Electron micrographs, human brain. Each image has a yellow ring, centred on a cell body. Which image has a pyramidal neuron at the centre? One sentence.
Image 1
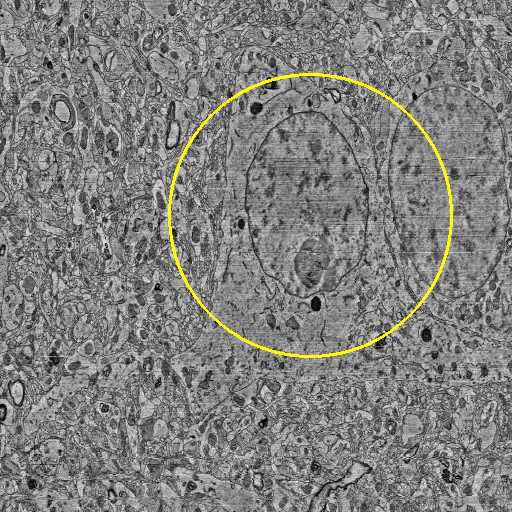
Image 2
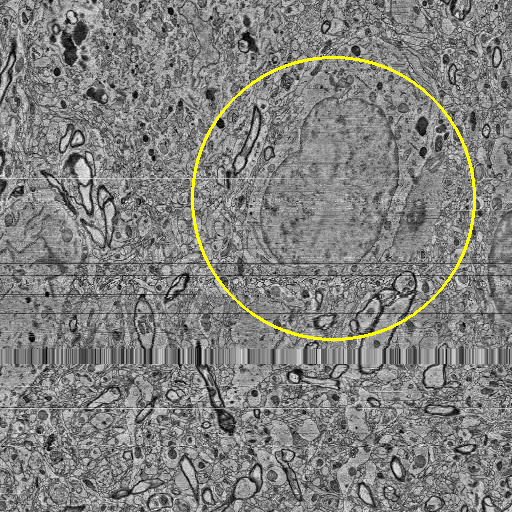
The ring in Image 1 is centred on it.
